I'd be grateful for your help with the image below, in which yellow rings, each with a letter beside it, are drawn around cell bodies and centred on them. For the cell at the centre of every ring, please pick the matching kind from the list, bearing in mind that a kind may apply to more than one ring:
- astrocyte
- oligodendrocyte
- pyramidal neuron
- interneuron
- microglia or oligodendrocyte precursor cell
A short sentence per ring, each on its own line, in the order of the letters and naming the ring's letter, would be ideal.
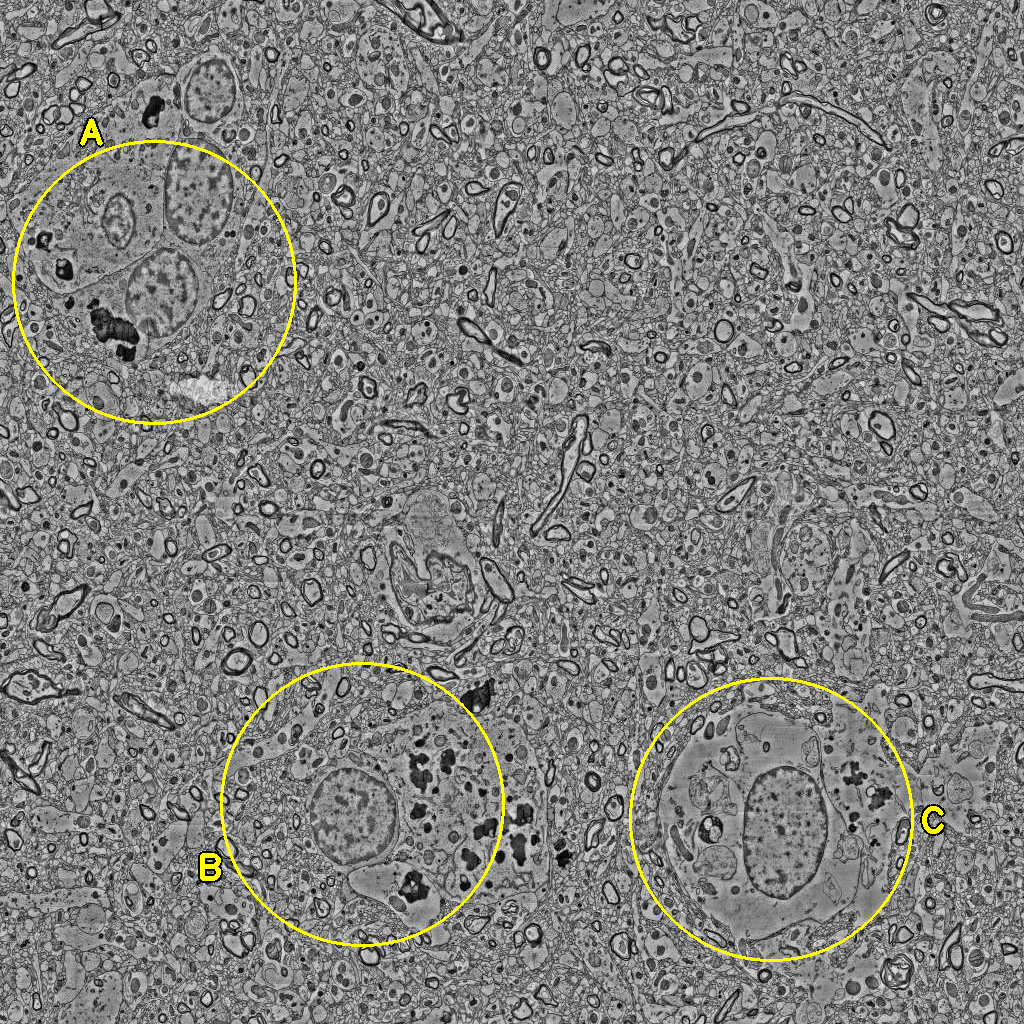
Inside ring A, the central cell is an oligodendrocyte.
Inside ring B, the central cell is an oligodendrocyte.
Inside ring C, the central cell is an astrocyte.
